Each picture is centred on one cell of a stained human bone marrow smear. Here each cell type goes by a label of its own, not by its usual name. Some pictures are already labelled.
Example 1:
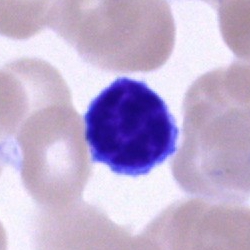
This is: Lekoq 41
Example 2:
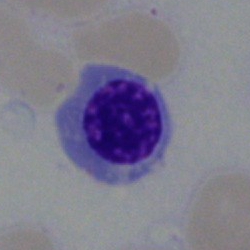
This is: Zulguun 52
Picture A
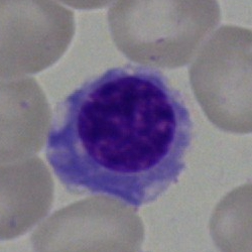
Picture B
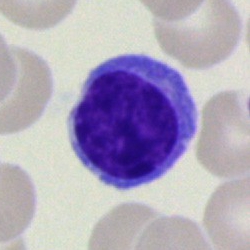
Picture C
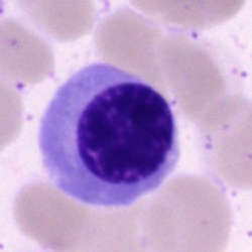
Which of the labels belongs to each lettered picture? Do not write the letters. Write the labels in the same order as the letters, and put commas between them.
Zulguun 52, Lekoq 41, Zulguun 52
